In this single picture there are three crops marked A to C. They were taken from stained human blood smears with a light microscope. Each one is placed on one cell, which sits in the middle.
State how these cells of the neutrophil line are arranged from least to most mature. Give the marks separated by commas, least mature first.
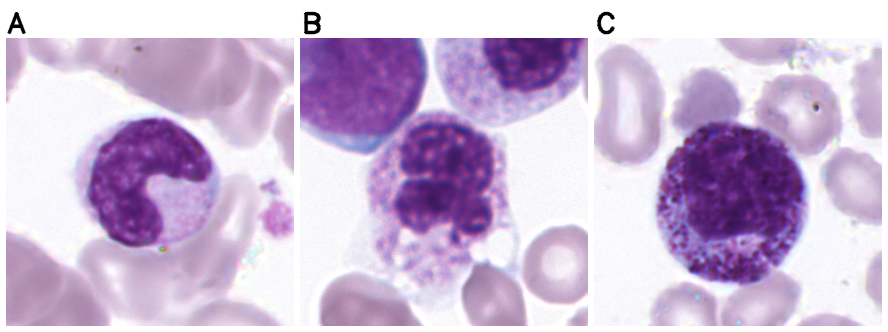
C, A, B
